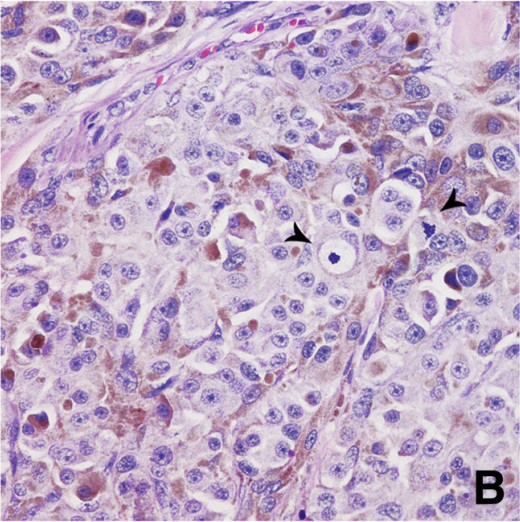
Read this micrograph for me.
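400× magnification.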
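This is a sheet of large epithelioid tumour cells, packed together with little stroma except for a thin fibrous band with a few red blood cells along the top. The cells are polygonal with moderate pale pink to purplish cytoplasm, some with a dusky reddish tinge. Their nuclei are large, round to oval and vesicular, many with a distinct nucleolus. A few cells stand out with dense, dark, irregular chromatin clumps lacking a nuclear outline, consistent with mitotic figures. Scattered cells are rounded and darker, and some have clear spaces around them.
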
